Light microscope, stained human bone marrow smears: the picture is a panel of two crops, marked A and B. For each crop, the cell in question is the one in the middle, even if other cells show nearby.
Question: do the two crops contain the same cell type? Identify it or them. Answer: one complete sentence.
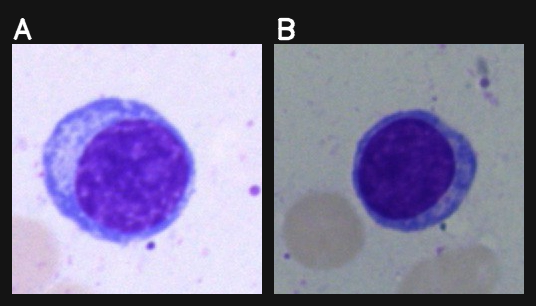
Yes, the two crops both show lymphocytes.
